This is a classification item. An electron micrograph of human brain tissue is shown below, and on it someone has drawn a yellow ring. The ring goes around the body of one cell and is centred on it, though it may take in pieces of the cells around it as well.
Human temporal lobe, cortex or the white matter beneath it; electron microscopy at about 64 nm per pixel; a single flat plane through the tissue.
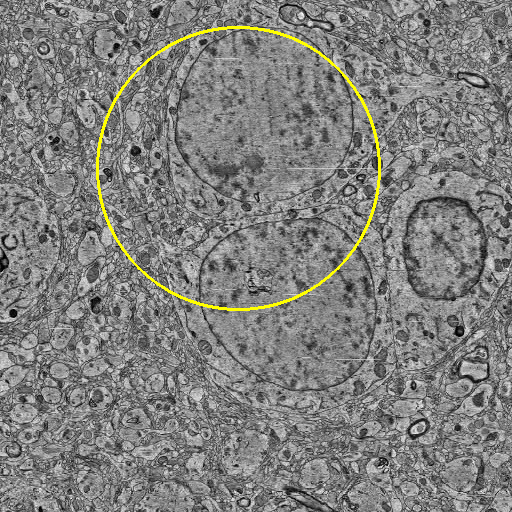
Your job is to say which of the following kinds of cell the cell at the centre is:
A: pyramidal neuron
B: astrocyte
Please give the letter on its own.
A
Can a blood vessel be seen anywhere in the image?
No.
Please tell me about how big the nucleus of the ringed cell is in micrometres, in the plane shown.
Approximately 12 micrometres across, in this plane.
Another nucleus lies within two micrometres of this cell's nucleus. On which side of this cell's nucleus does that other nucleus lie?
That nucleus lies below it.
